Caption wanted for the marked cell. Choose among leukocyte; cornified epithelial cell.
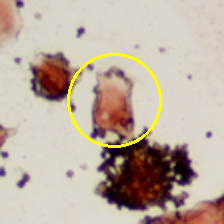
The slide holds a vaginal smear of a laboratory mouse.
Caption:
Ringed in yellow is a cornified epithelial cell.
